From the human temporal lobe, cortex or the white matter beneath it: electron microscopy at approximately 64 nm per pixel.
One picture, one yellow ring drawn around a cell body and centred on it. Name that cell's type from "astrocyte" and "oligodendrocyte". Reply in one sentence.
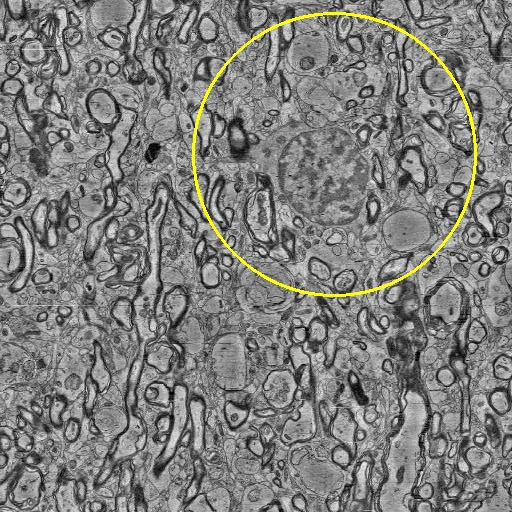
Centred in the ring is an oligodendrocyte.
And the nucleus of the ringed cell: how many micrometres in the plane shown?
About 6 micrometers across, in this plane.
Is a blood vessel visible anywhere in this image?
No.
